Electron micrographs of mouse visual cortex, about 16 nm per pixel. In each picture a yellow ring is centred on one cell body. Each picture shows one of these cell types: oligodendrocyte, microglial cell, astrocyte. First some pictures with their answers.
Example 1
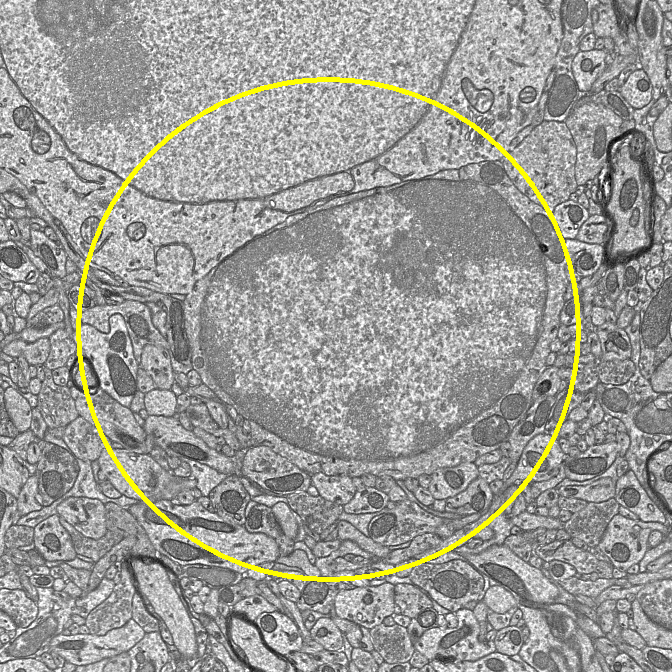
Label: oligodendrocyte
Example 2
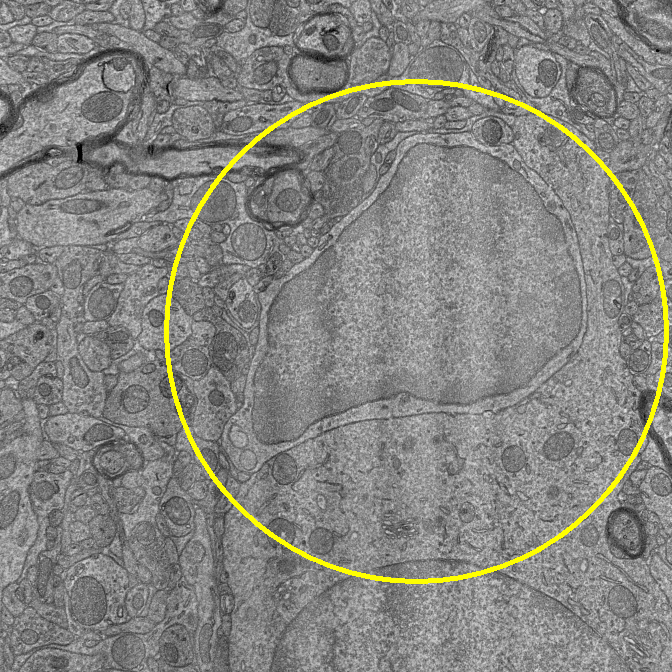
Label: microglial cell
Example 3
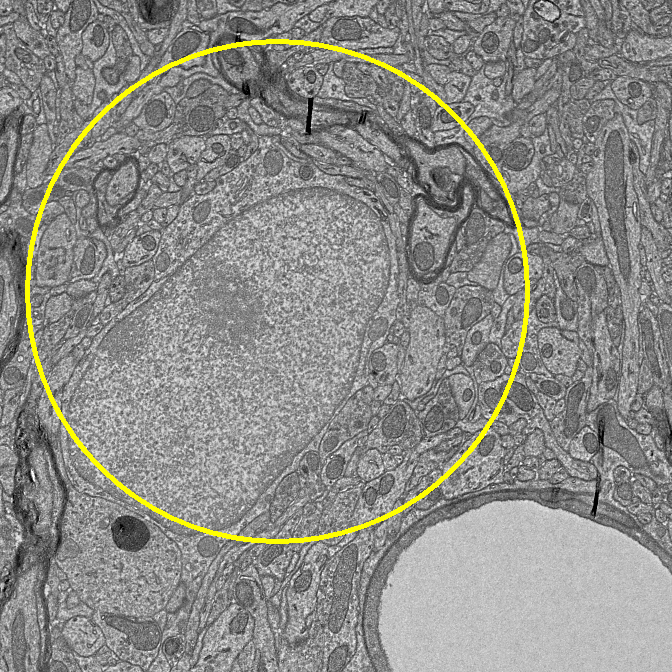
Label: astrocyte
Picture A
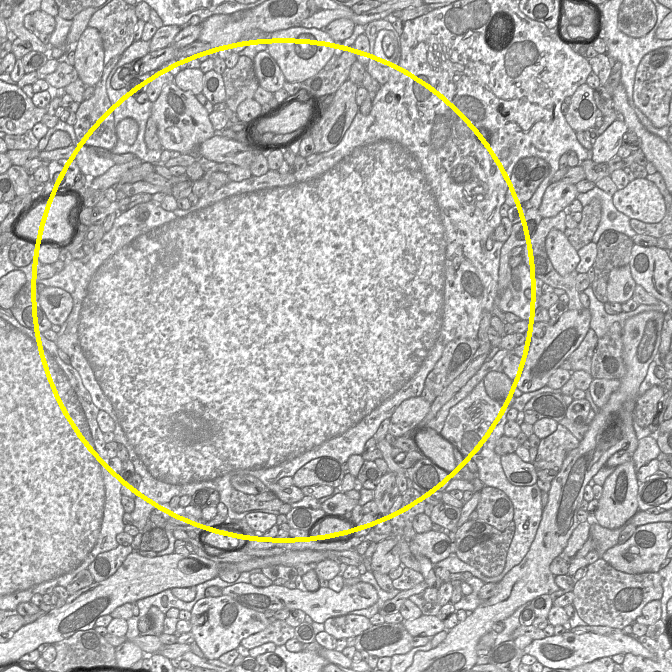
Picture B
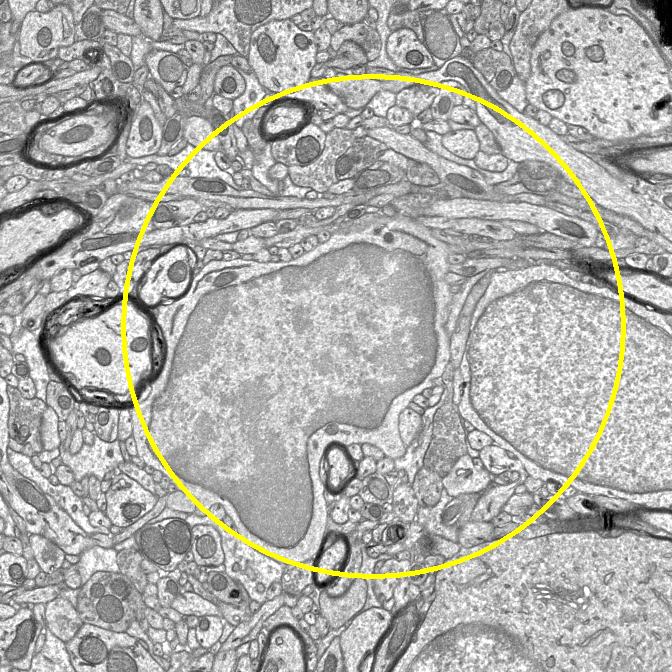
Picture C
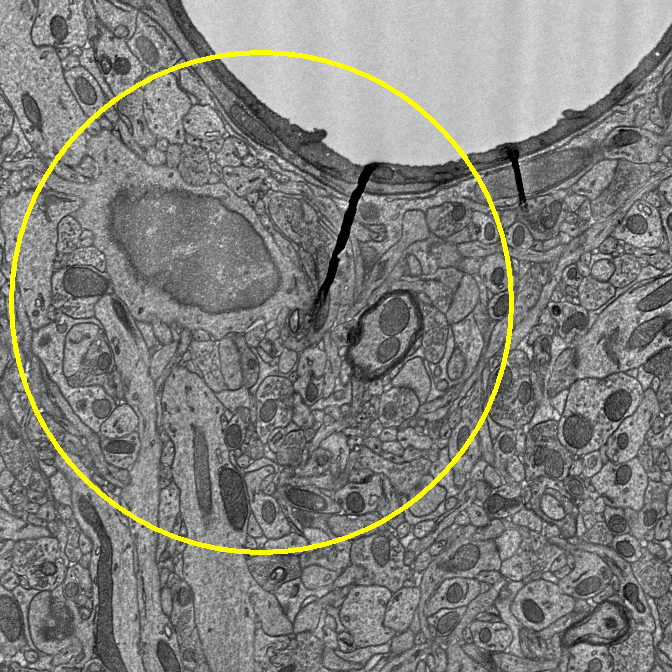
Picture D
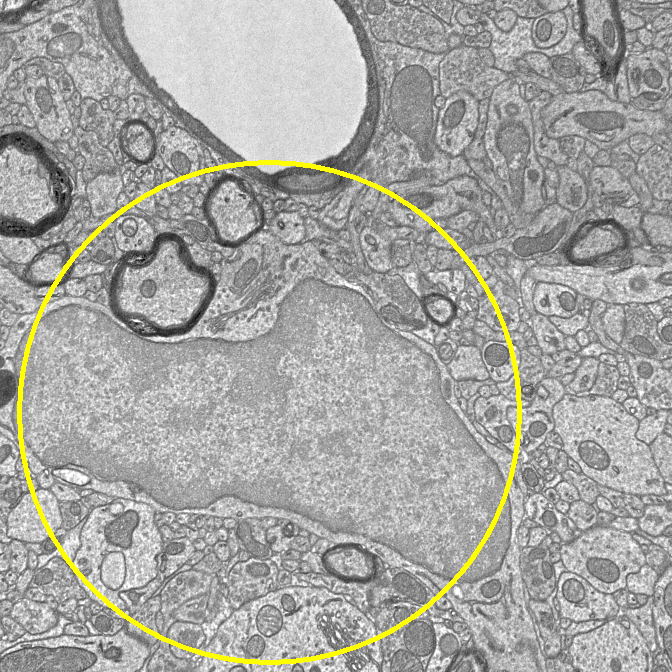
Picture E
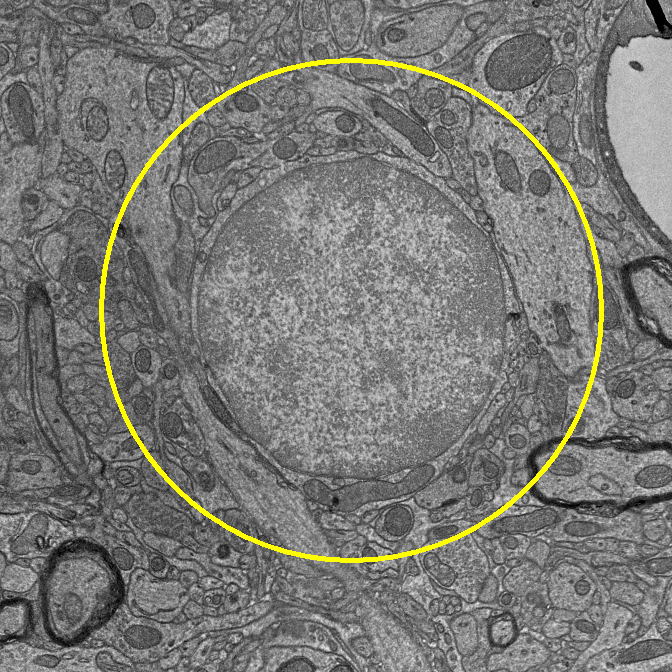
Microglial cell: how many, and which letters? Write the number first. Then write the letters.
3, namely B, C, D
